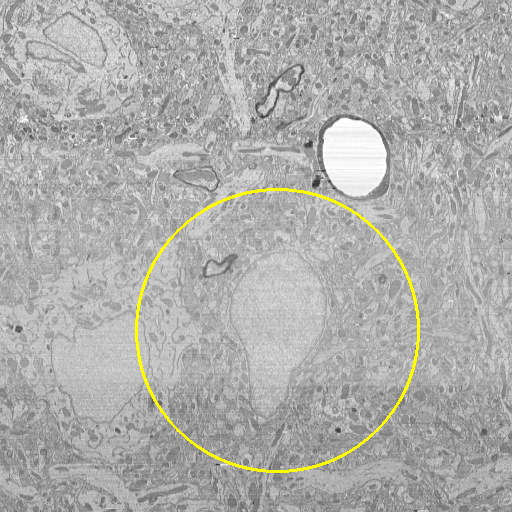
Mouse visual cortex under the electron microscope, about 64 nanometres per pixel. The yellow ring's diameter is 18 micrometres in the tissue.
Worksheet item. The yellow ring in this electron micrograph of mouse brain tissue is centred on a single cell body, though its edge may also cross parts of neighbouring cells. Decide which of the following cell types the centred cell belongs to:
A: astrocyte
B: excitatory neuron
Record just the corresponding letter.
A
